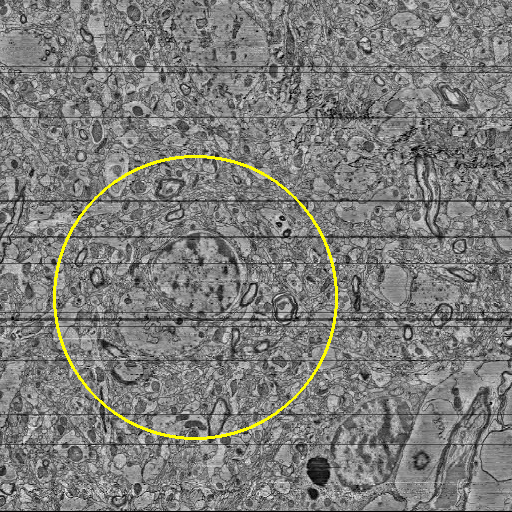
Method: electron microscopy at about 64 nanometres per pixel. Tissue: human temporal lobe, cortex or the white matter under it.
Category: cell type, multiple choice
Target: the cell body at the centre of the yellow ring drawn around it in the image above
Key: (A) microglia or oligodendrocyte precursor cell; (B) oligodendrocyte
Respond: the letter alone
A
